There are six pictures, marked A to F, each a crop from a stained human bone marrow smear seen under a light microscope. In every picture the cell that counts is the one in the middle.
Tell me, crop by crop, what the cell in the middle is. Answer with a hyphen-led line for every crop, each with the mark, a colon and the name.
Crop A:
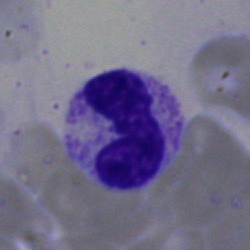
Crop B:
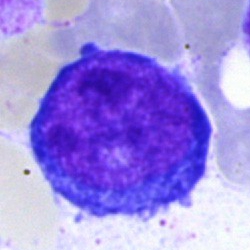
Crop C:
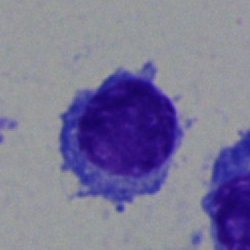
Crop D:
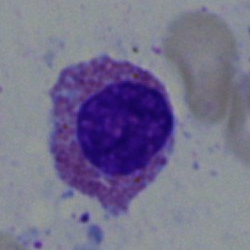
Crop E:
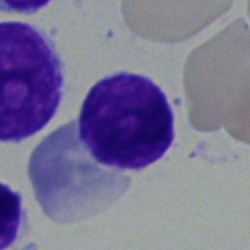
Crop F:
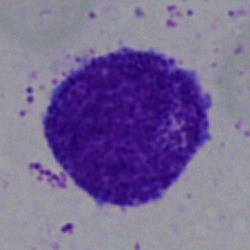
- A: band neutrophil
- B: proerythroblast
- C: plasma cell
- D: eosinophil
- E: lymphocyte
- F: promyelocyte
